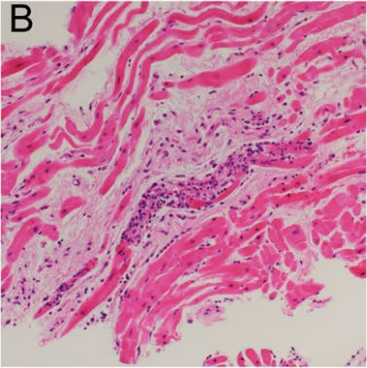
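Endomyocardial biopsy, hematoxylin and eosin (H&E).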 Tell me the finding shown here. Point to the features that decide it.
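A dense band of small dark purple nuclei lies between the pink muscle fibers in the center. The muscle fibers around the band are separated by widened pale connective tissue. So: inflammatory infiltrates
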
